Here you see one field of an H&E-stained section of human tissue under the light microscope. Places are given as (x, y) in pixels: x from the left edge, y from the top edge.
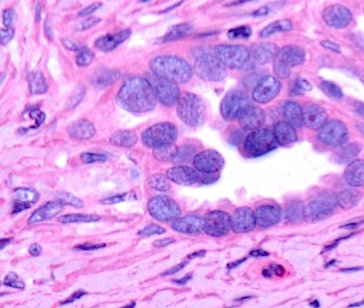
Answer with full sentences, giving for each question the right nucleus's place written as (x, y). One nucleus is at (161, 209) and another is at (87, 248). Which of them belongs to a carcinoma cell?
The one nucleus of the two that belongs to a carcinoma cell is at (161, 209).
